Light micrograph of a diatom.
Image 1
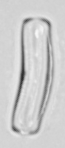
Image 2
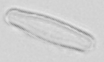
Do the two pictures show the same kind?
Yes, both are Achnanthidium.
